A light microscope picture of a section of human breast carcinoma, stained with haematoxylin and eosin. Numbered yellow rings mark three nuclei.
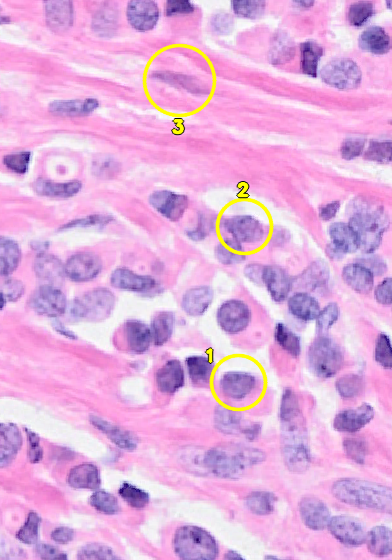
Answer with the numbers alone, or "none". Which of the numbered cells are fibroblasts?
3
